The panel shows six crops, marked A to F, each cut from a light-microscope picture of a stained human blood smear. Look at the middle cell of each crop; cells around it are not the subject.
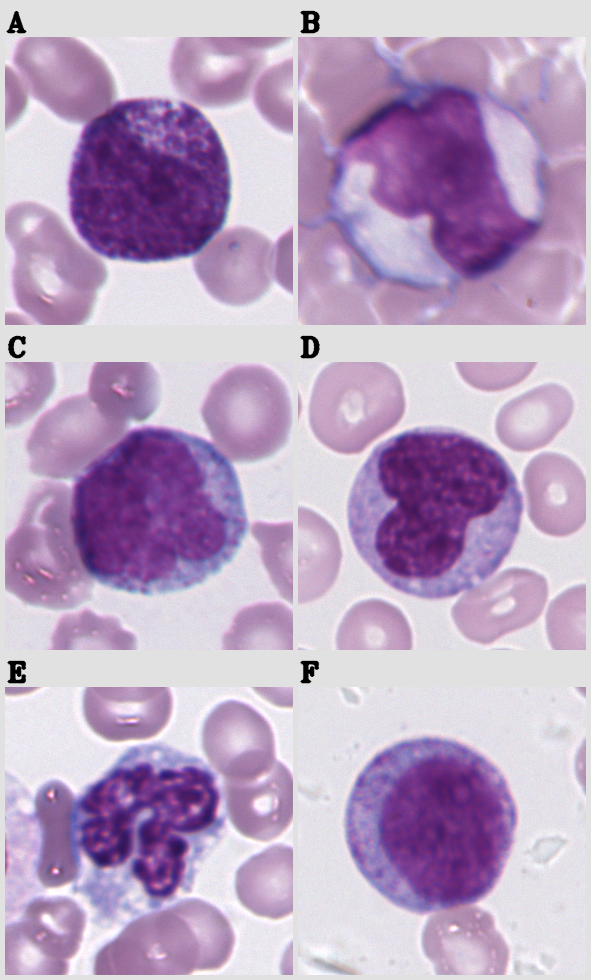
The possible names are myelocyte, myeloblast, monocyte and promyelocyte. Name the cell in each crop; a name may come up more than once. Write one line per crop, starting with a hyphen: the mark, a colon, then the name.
- A: myelocyte
- B: monocyte
- C: promyelocyte
- D: monocyte
- E: monocyte
- F: promyelocyte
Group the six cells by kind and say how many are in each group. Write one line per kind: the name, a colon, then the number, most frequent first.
monocyte: 3
promyelocyte: 2
myelocyte: 1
